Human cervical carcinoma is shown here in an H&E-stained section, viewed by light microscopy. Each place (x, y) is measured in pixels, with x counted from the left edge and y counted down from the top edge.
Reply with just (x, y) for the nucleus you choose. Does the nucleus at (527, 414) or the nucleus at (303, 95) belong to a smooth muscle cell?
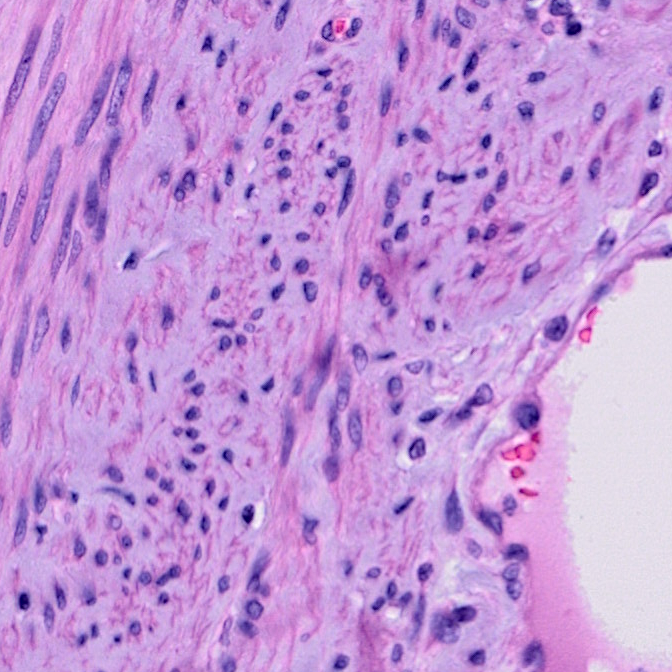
(303, 95)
